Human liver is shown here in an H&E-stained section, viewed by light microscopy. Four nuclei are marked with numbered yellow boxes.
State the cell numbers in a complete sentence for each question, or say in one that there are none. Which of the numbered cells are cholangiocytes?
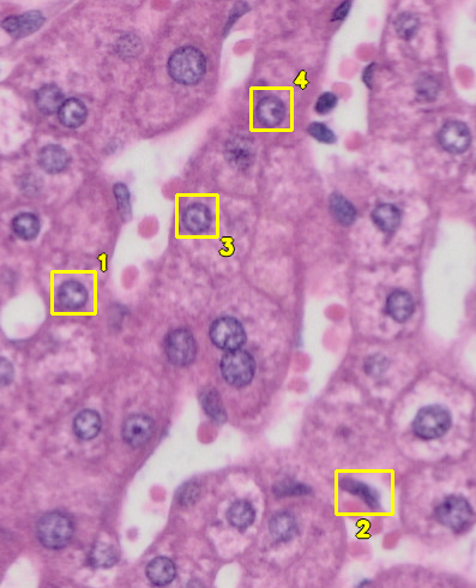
Numbered cell by numbered cell, the tally of cholangiocytes stays at zero.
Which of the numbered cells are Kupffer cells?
Only number 2 is a Kupffer cell; none of the others are.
